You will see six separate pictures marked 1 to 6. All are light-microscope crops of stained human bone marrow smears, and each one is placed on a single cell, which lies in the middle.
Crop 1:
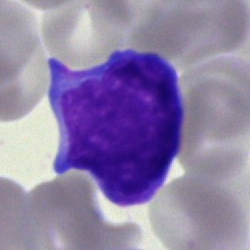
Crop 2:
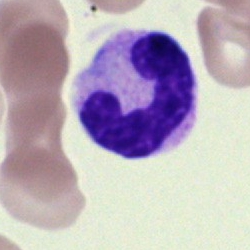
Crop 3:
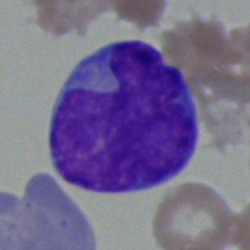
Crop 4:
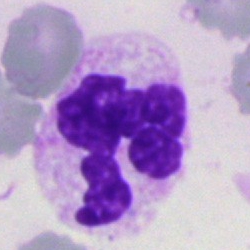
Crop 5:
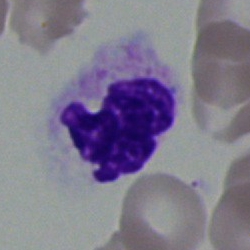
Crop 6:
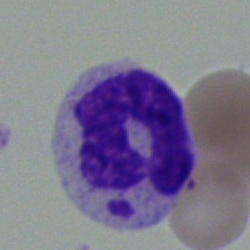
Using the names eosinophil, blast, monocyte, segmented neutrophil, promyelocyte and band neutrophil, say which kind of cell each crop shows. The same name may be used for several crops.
1: blast
2: band neutrophil
3: blast
4: segmented neutrophil
5: segmented neutrophil
6: band neutrophil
